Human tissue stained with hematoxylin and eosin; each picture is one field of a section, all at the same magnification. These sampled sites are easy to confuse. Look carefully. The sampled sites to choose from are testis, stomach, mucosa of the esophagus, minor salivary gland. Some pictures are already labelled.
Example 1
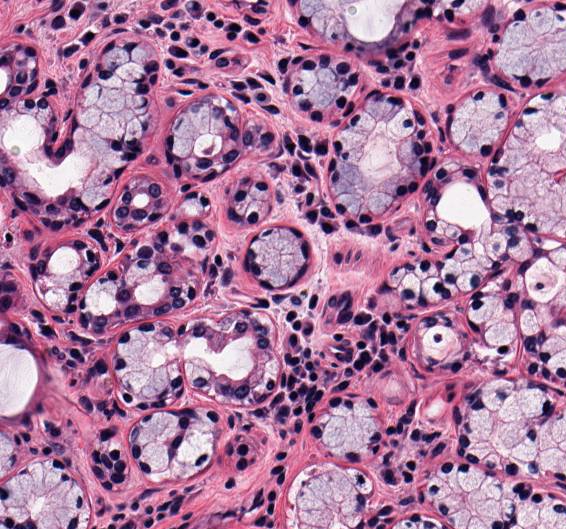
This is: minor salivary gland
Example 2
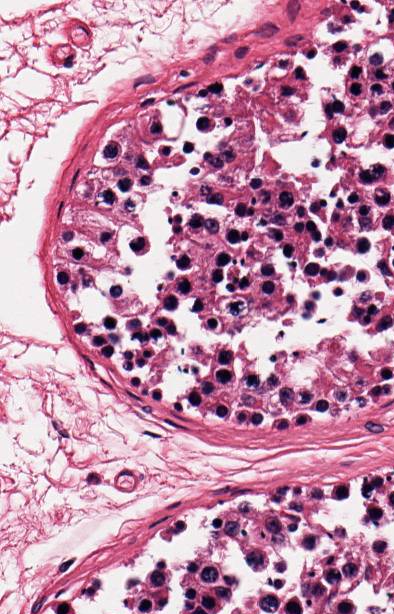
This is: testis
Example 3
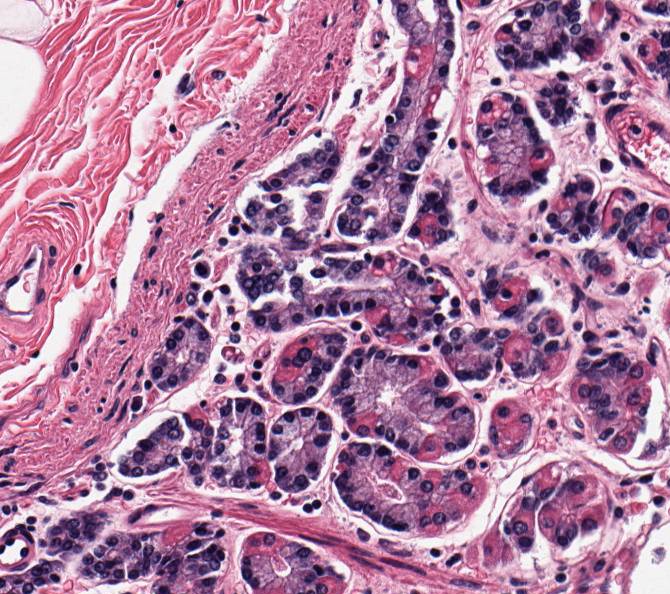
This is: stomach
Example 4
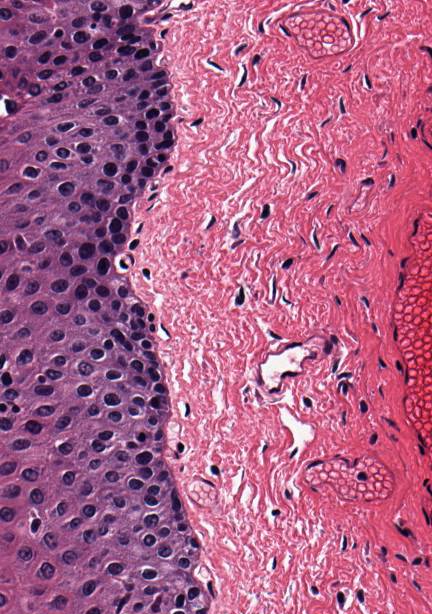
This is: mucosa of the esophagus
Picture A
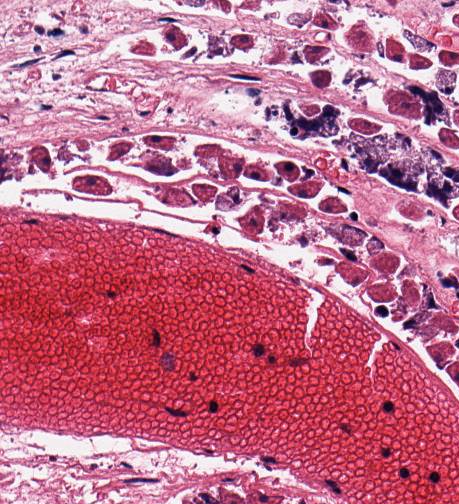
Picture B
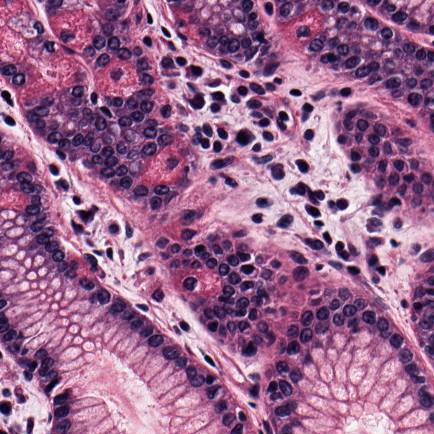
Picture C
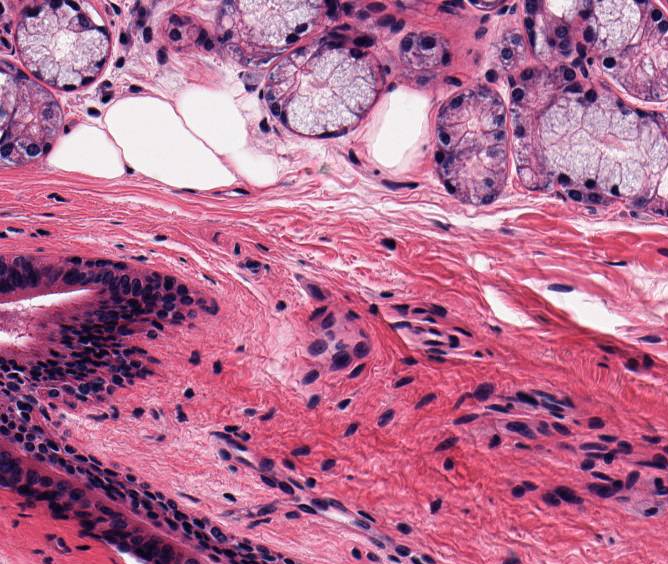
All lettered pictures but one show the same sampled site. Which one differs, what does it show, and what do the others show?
Odd one out: C (minor salivary gland). The rest: stomach.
